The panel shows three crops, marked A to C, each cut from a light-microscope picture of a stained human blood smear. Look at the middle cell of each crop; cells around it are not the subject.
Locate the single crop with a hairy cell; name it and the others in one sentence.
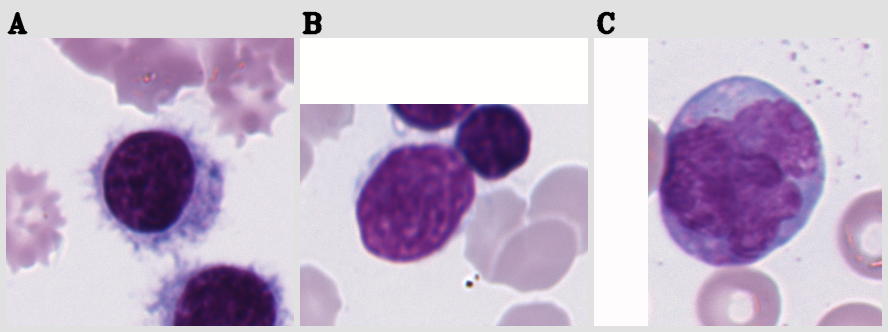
For crop A the cell is a hairy cell, while crop B is a myeloblast and crop C is an atypical promyelocyte.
